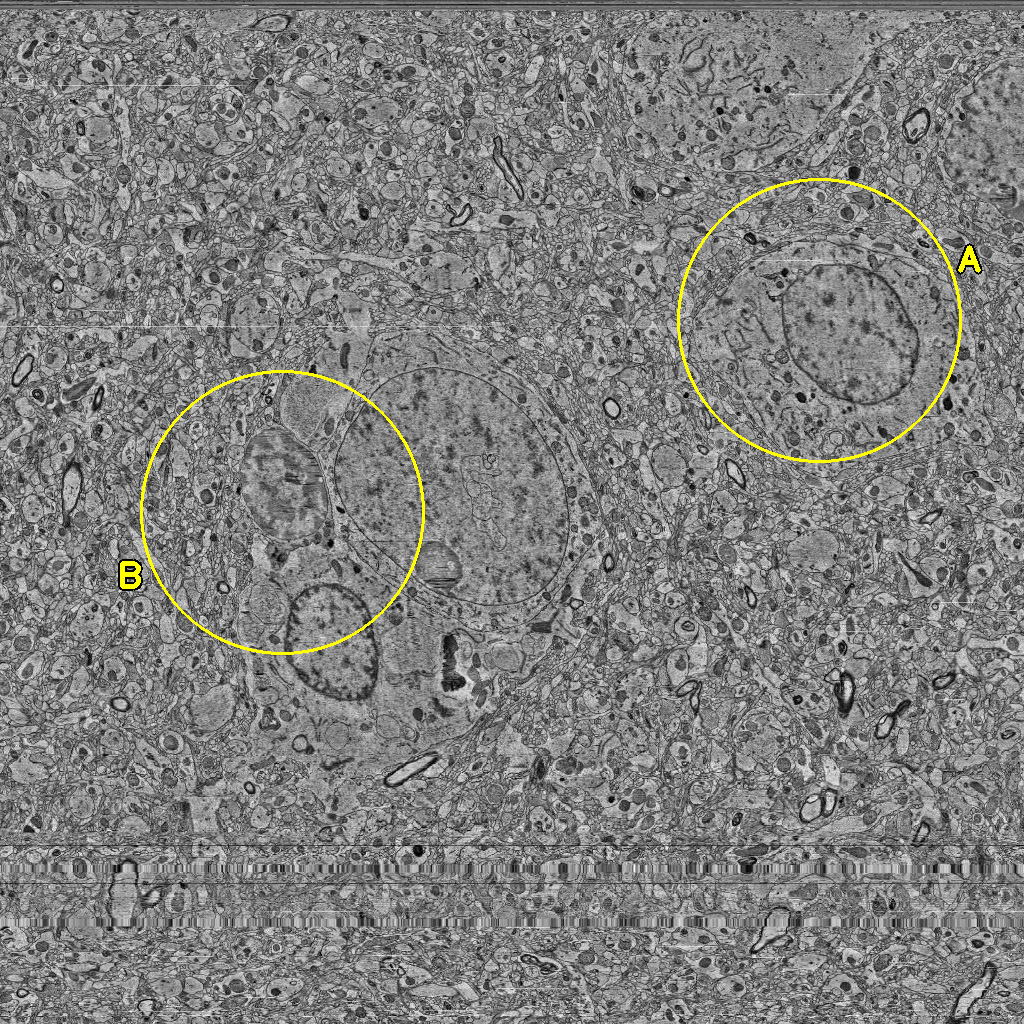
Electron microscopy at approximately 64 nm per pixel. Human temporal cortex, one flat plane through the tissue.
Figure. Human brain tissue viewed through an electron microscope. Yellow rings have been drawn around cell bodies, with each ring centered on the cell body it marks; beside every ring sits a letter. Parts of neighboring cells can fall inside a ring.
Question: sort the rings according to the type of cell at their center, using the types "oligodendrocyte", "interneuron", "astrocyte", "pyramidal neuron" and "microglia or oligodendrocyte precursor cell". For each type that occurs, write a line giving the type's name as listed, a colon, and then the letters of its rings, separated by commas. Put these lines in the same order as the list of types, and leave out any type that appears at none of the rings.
oligodendrocyte: B
pyramidal neuron: A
